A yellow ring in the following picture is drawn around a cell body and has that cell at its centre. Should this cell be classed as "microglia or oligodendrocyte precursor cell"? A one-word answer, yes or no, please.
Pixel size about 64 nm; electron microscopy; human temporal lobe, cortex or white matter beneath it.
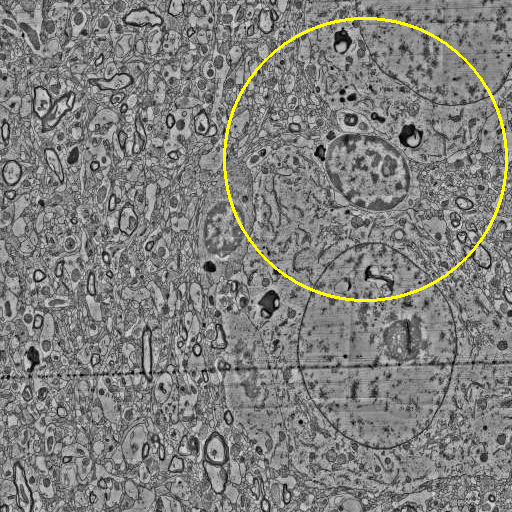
Yes, it is of that kind.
